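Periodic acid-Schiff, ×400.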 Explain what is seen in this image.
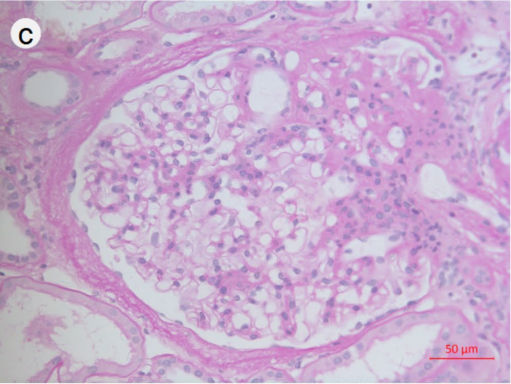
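A large glomerulus of renal cortex fills most of the field, enclosed by a thick, layered pale pink Bowman's capsule. Toward one side the tuft is consolidated into solid pink matrix with loss of open capillary loops, while elsewhere capillary lumina remain patent among cells with round purple nuclei. Tubules with pale cytoplasm border the capsule around its edge.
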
